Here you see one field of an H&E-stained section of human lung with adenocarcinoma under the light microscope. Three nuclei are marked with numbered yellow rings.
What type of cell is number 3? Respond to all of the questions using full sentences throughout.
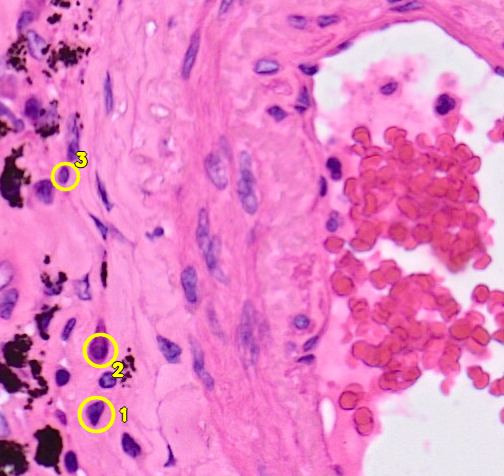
Cell 3, among those numbered, is a lymphocyte.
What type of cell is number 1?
In this section, number 1 marks a lymphocyte.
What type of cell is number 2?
The cell numbered 2 has been identified as a plasma cell.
